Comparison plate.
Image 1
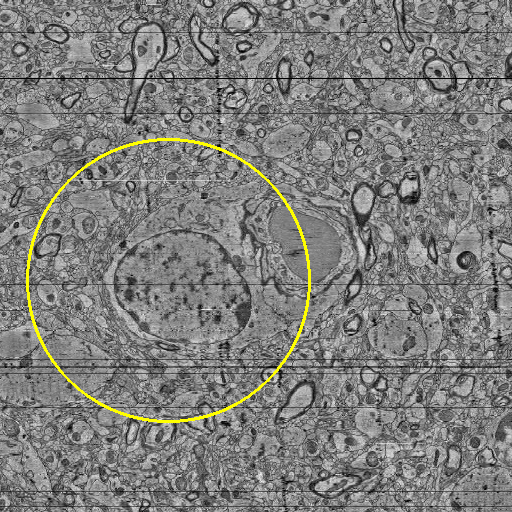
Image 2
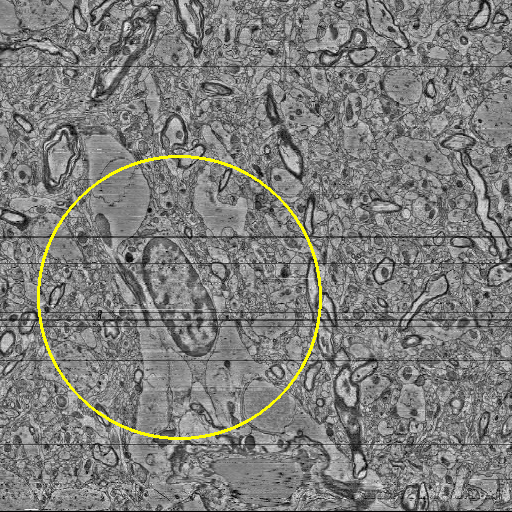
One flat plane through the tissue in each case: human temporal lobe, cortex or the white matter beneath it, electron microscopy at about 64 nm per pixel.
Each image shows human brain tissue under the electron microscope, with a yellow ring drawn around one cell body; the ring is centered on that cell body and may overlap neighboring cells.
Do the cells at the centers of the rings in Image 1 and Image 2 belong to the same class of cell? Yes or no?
yes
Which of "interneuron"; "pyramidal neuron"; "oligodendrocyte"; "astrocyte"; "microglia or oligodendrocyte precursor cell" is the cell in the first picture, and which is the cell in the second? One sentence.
In both pictures the ring is centred on a microglial cell or oligodendrocyte precursor cell.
